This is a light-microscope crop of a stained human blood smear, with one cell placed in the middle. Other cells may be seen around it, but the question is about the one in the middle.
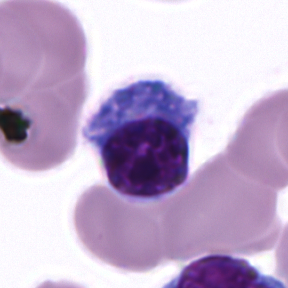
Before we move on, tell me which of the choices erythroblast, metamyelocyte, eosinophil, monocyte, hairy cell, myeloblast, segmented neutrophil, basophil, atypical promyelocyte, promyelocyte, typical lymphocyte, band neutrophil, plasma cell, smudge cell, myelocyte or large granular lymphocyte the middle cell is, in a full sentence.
Among the cells in view, the one in the middle is a plasma cell.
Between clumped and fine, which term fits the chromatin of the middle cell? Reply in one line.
Just so you know, its chromatin is coarsely clumped.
